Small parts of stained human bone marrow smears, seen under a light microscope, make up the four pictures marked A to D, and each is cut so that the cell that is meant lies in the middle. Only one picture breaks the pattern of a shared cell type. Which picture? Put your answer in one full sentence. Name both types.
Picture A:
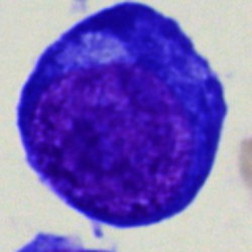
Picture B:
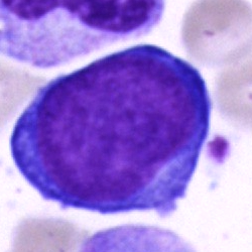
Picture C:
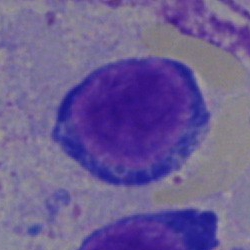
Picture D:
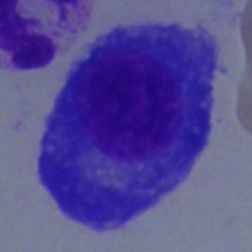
Unlike the rest, which show proerythroblasts, picture D shows a plasma cell.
